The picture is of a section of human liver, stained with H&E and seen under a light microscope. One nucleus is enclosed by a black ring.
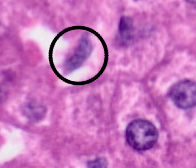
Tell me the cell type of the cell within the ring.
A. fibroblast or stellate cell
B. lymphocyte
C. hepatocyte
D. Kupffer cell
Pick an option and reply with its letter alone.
D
